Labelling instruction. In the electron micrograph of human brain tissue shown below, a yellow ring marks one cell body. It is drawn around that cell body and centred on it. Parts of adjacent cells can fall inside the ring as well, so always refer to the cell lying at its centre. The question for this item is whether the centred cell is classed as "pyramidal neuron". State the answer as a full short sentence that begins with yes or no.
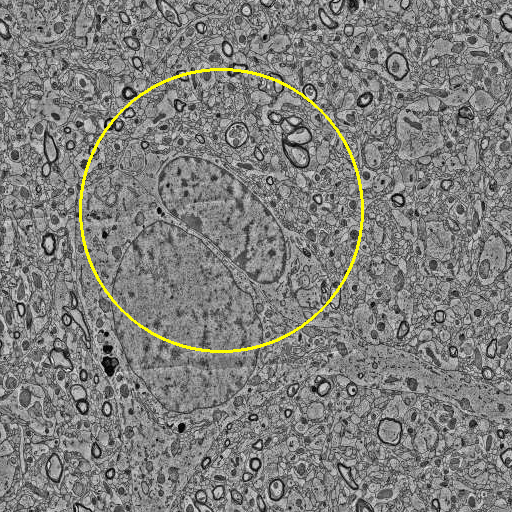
No, the centred cell belongs to another class.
